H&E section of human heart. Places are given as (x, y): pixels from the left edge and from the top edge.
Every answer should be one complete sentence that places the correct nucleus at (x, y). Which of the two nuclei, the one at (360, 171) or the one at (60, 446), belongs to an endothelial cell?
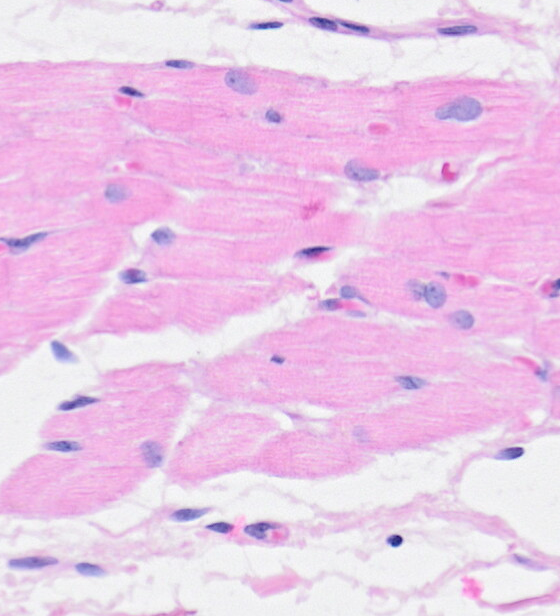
The correct choice is the nucleus at (60, 446), which belongs to an endothelial cell.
